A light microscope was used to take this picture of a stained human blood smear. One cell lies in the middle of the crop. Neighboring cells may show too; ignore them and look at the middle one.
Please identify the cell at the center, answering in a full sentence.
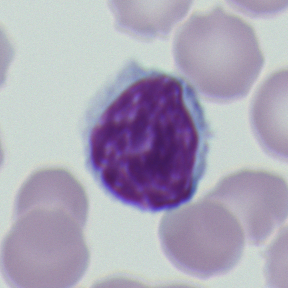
In the centre of this crop there is a lymphocyte.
